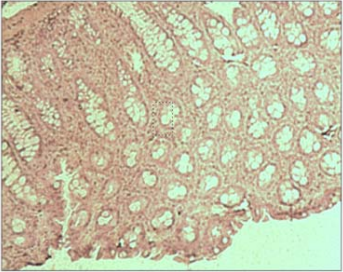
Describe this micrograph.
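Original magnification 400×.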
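In cross-section each gland is a neat ring of epithelial cells around a lumen, with pale, rounded mucus-filled spaces inside the ring. The glands are regular and closely packed, separated by narrow strips of lamina propria, and the whole section has an even reddish tint.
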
